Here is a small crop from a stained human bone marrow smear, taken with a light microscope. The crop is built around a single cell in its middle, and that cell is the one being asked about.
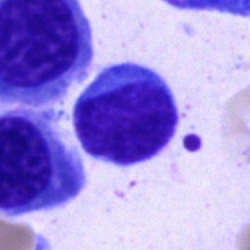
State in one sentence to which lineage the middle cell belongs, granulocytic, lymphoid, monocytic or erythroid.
The lineage to which the central cell belongs is the lymphoid lineage.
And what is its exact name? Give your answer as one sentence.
The cell of interest, in the center, is a lymphocyte.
